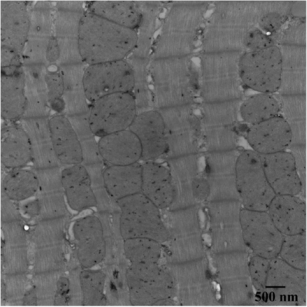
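This is heart muscle seen at high magnification in the electron microscope. The mitochondria sit tightly side by side with only narrow gaps between them.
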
